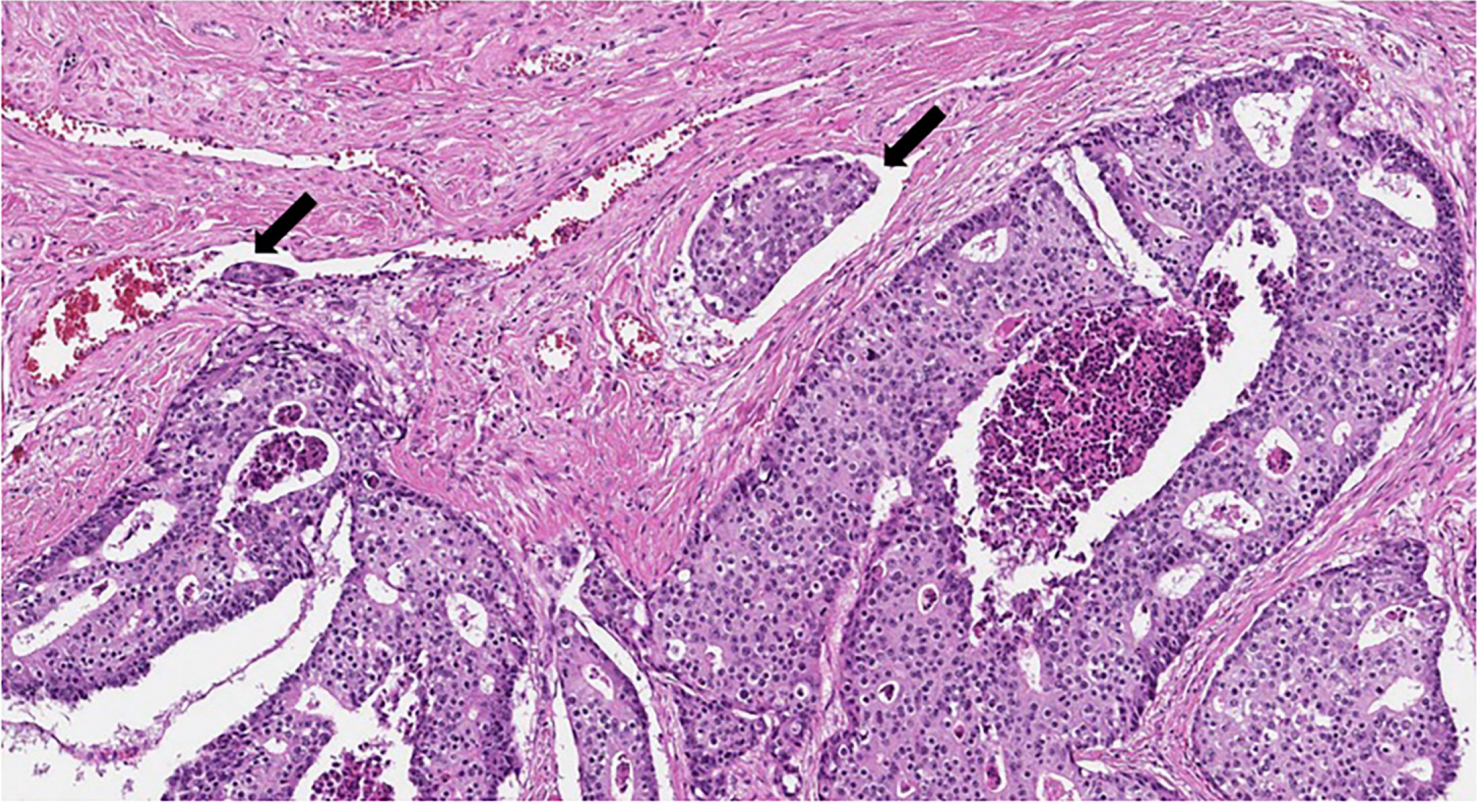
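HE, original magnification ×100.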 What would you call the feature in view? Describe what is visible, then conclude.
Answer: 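Large nests of tumor cells are perforated by many round, punched-out lumens. The lumens sit within solid sheets of cells rather than in separate glands. So: Cribriform tumor structures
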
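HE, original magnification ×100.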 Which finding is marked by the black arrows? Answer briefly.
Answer: Lymphovascular invasion.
